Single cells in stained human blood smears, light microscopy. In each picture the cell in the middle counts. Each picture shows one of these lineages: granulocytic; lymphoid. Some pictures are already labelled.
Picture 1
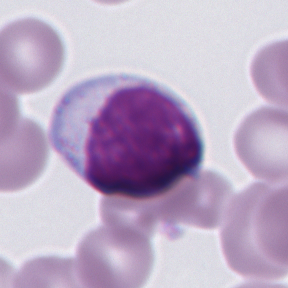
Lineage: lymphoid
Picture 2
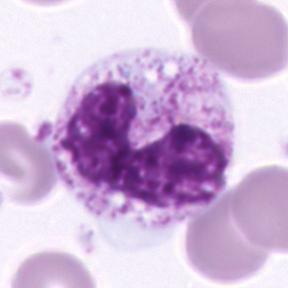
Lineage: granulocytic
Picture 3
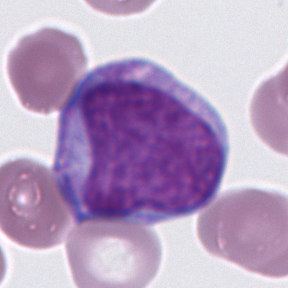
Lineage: granulocytic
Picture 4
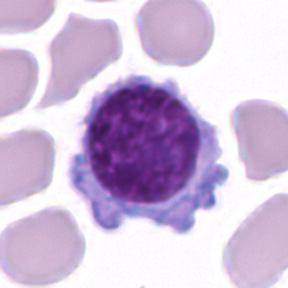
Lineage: lymphoid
